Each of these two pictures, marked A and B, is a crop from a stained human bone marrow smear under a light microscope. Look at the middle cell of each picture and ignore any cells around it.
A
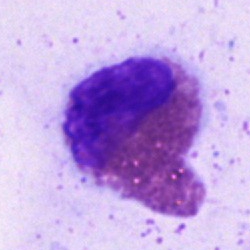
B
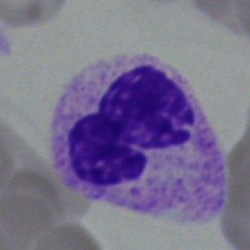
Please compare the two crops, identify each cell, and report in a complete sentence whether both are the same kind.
No, an eosinophil is in crop A, and a segmented neutrophil is in crop B.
